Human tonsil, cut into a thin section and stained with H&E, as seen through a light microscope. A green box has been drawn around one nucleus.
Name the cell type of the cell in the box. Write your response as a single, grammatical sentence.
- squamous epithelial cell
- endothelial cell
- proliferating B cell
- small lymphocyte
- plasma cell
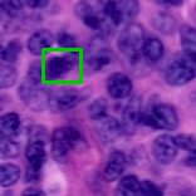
In this section, the cell in the box is a proliferating B cell.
